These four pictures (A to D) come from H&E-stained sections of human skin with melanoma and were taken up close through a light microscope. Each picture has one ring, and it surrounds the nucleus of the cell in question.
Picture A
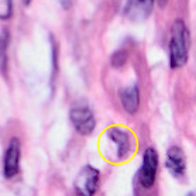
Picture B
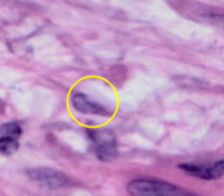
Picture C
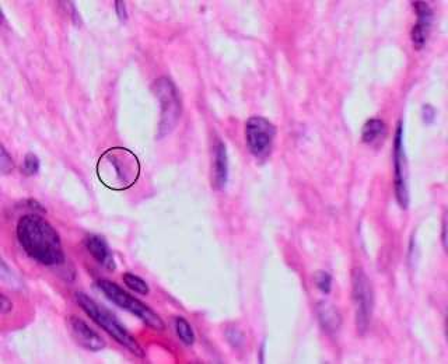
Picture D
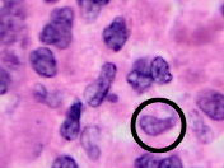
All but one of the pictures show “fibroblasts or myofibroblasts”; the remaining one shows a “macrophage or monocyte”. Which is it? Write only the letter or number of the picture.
D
